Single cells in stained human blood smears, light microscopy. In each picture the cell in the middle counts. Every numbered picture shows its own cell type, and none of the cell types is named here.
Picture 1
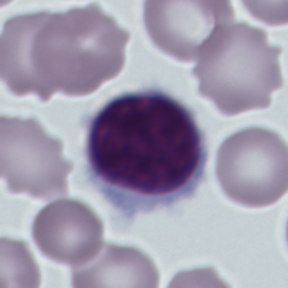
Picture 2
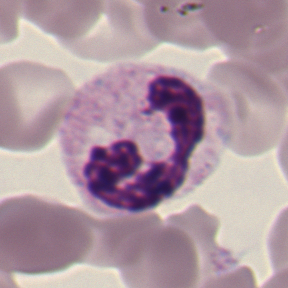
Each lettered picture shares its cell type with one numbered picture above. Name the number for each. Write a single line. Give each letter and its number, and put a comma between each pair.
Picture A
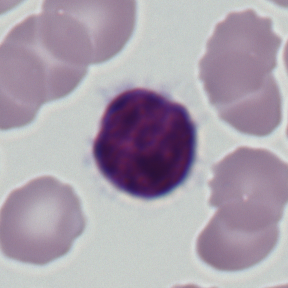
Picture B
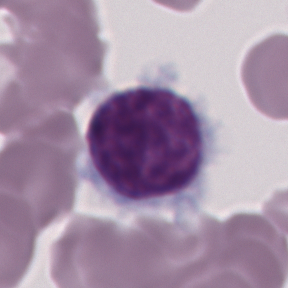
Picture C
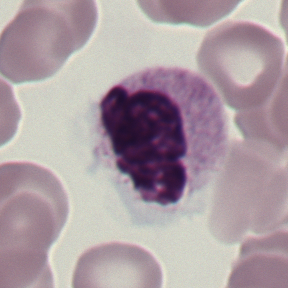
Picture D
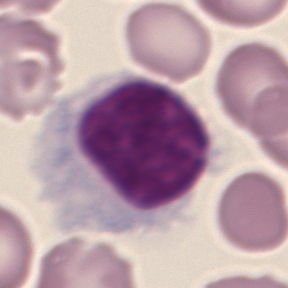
A 1, B 1, C 2, D 1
